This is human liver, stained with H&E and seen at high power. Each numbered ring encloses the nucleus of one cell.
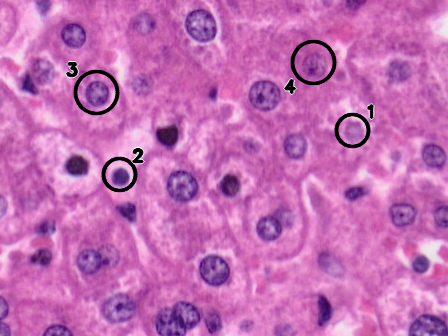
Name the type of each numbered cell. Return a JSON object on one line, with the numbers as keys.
{"1": "hepatocyte", "2": "lymphocyte", "3": "hepatocyte", "4": "hepatocyte"}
